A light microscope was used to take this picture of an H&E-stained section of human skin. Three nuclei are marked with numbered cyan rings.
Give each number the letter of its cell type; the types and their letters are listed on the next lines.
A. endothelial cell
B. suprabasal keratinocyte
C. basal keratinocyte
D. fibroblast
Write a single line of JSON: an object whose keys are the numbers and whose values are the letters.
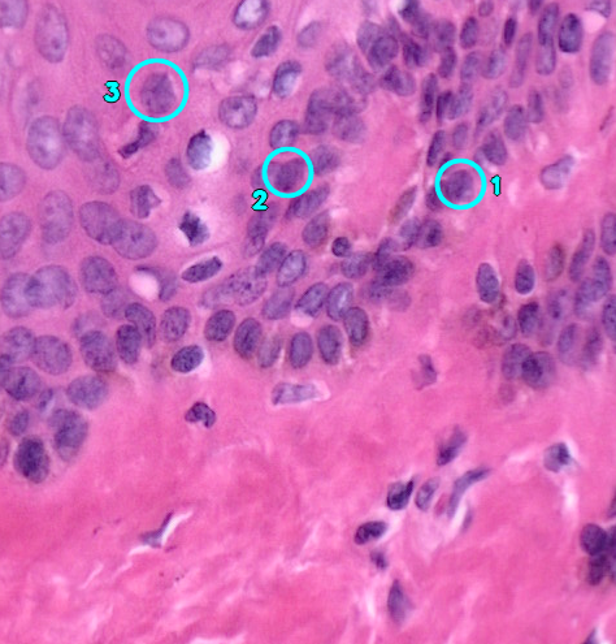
{"1": "C", "2": "C", "3": "B"}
